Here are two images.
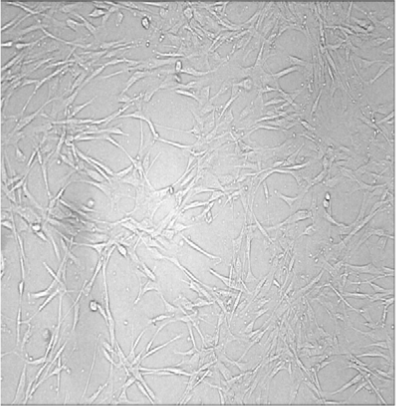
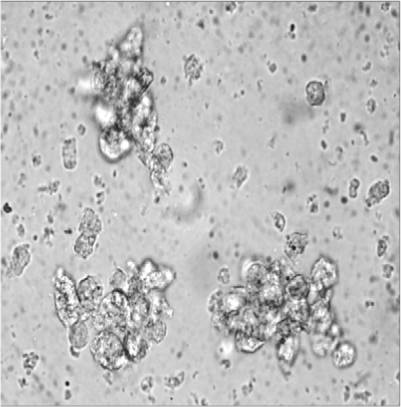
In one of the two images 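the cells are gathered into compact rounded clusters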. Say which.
The second image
